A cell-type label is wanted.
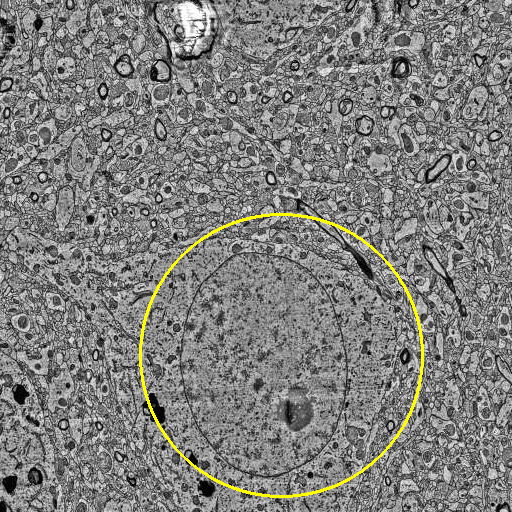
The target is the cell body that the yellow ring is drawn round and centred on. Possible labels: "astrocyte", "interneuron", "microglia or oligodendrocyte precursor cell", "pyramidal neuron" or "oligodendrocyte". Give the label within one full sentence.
Of the labels offered, the cell in the middle of the yellow ring is a pyramidal neuron.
